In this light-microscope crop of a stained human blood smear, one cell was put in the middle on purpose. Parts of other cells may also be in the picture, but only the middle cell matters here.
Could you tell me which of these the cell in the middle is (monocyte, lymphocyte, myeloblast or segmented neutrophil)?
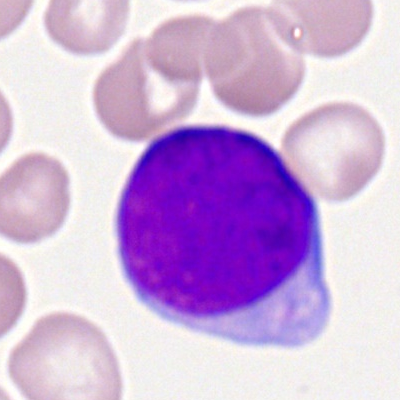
myeloblast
